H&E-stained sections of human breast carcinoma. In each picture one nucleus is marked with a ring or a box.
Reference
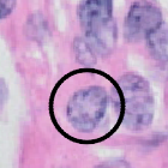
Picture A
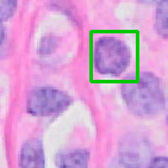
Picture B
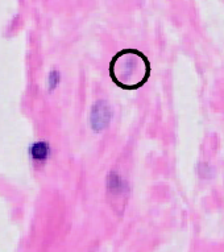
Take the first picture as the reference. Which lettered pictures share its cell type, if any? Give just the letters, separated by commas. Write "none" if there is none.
A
